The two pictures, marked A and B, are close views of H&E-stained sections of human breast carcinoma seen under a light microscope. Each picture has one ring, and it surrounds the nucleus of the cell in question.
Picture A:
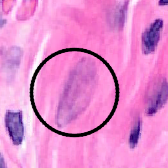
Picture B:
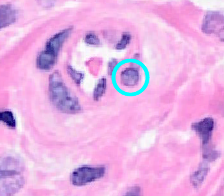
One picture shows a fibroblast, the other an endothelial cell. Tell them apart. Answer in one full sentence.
Picture A is of a fibroblast, and picture B is of an endothelial cell.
